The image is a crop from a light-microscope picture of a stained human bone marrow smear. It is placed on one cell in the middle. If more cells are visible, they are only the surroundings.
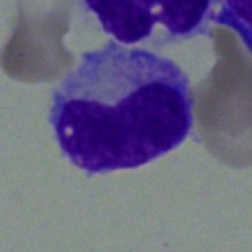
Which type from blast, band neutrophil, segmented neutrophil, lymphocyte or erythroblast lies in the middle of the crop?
band neutrophil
